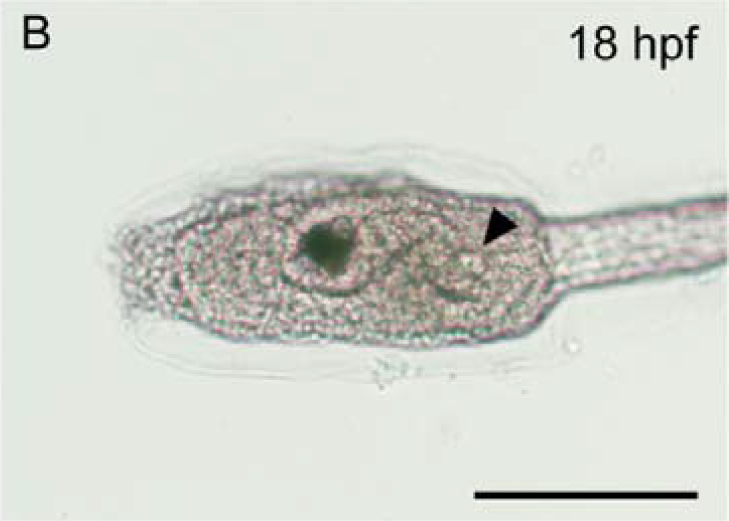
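This is the elongated head of a tunicate larva, built of densely packed small cells that give it a fine granular texture. It is enclosed by a thin transparent outer covering. Near the middle lies a rounded vesicle containing a dark pigmented body, and behind it the head narrows abruptly into the slender tail.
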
